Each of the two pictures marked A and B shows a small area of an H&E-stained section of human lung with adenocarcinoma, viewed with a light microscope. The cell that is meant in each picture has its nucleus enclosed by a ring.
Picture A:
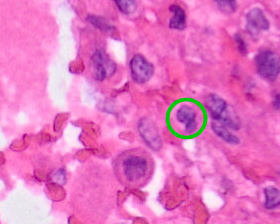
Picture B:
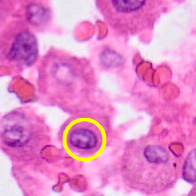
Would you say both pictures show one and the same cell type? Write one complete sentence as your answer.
Yes, the two pictures both show “macrophages or monocytes”.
